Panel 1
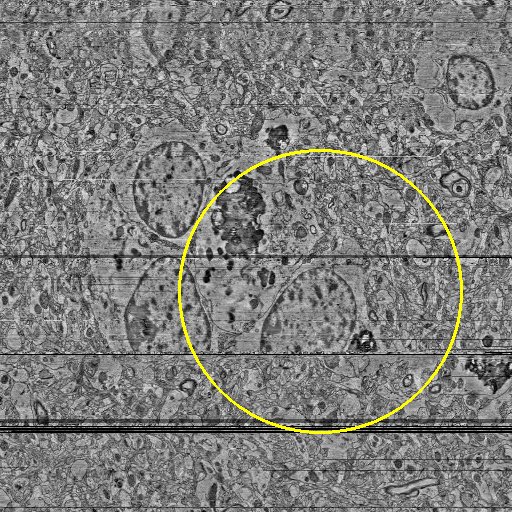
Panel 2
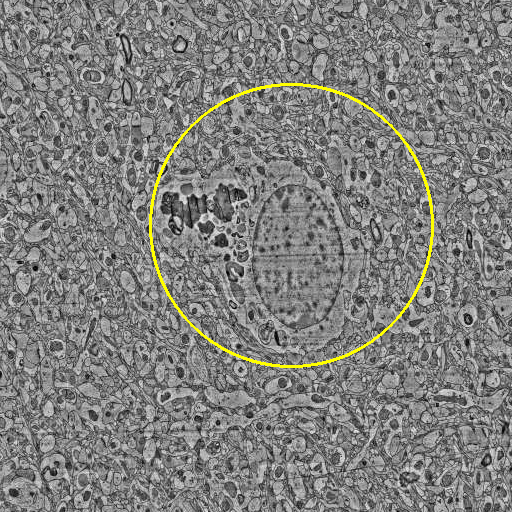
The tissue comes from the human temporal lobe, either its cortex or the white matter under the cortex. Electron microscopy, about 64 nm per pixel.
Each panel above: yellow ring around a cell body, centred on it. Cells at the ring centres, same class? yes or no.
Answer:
yes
